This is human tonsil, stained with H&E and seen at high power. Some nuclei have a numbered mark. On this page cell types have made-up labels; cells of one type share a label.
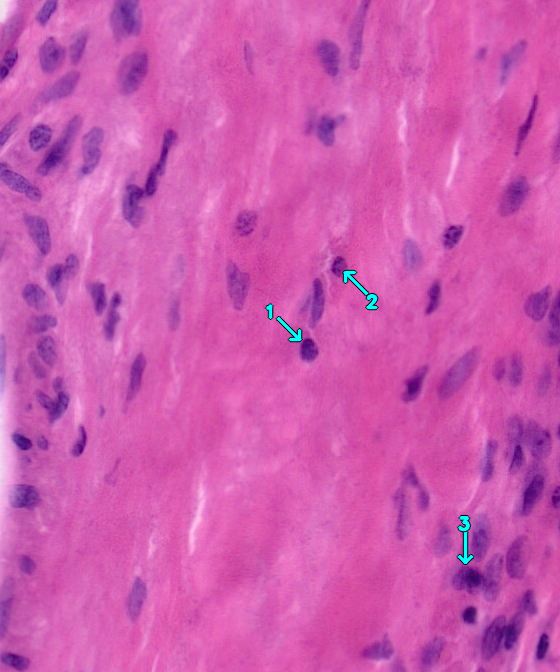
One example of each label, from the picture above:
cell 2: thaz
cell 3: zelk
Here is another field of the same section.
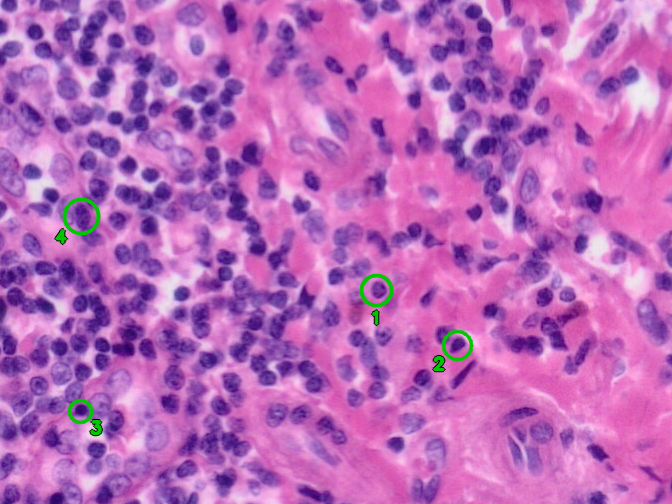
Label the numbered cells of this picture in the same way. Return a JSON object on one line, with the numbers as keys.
{"1": "thaz", "2": "thaz", "3": "zelk", "4": "zelk"}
